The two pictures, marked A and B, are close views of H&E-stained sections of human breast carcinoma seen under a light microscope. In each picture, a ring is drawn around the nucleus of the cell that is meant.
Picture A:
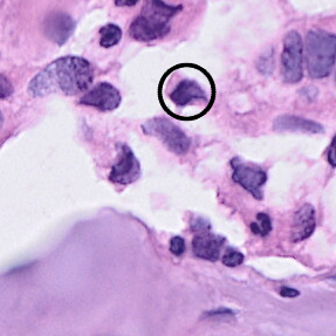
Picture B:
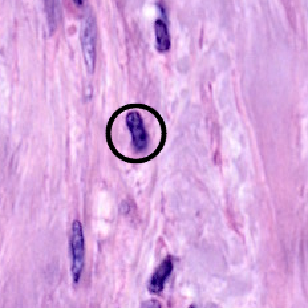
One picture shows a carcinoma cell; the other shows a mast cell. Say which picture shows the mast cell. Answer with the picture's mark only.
B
